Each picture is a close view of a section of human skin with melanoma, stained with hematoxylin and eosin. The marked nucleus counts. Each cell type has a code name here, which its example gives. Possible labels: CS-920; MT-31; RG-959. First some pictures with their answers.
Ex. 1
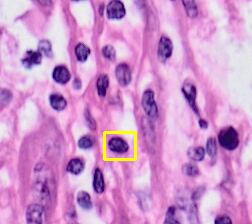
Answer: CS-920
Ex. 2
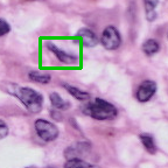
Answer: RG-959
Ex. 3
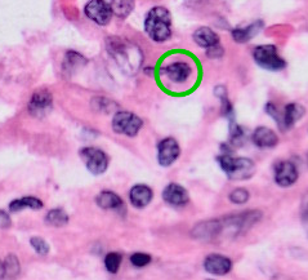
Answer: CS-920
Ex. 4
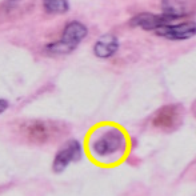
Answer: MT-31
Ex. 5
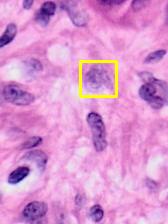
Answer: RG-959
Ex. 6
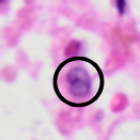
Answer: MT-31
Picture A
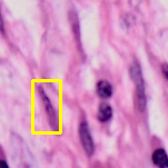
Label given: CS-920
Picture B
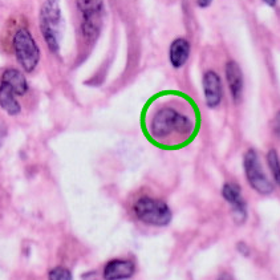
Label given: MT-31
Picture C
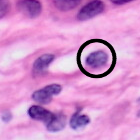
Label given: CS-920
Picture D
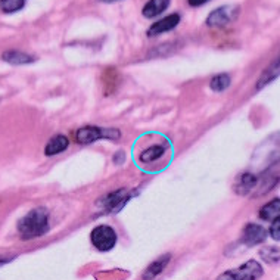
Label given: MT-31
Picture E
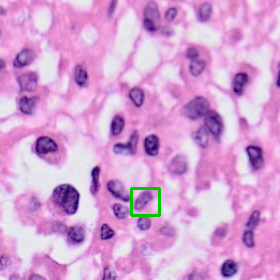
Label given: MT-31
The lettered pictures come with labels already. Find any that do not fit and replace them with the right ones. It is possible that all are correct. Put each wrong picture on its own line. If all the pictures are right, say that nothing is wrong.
A: change CS-920 to RG-959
